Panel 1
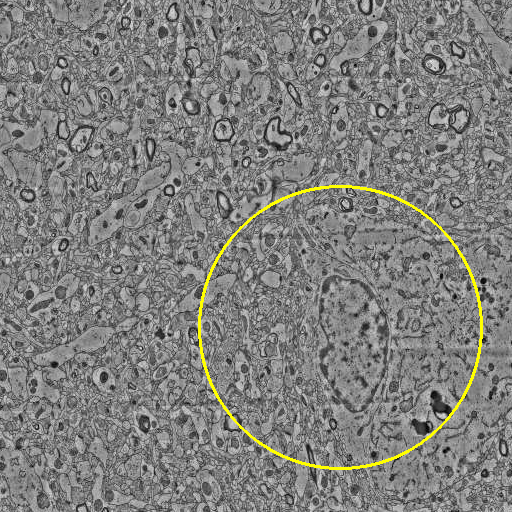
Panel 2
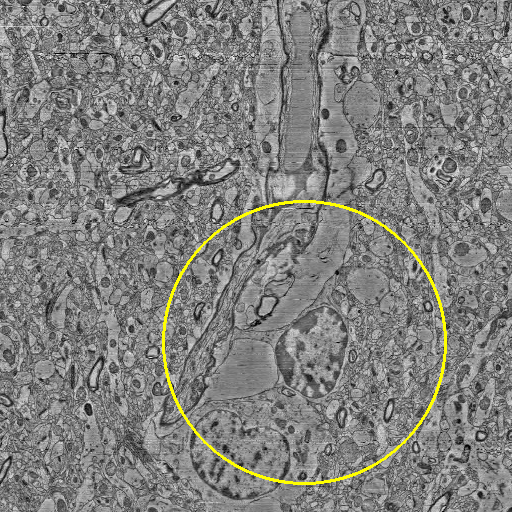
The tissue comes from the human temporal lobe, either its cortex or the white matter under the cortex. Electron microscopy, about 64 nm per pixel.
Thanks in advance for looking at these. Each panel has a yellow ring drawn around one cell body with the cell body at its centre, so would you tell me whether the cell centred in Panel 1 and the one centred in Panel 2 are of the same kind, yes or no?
yes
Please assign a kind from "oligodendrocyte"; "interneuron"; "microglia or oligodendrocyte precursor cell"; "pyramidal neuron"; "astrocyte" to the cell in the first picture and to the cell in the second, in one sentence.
Each one of the two ringed cells is a microglial cell or oligodendrocyte precursor cell.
